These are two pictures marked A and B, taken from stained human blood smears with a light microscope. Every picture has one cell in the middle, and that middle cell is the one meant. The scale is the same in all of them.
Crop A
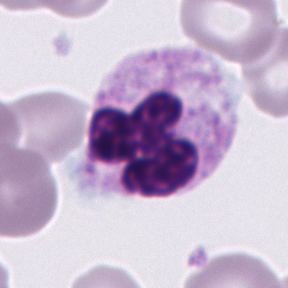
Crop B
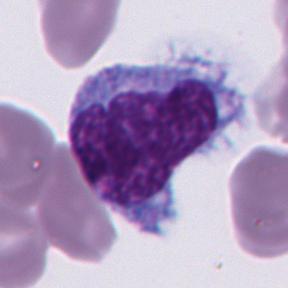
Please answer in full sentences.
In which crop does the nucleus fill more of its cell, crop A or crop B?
The nucleus fills more of the cell in crop B than in crop A.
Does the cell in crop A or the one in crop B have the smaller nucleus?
The nucleus in crop A is smaller; the one in crop B has about 1.5 times its area.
